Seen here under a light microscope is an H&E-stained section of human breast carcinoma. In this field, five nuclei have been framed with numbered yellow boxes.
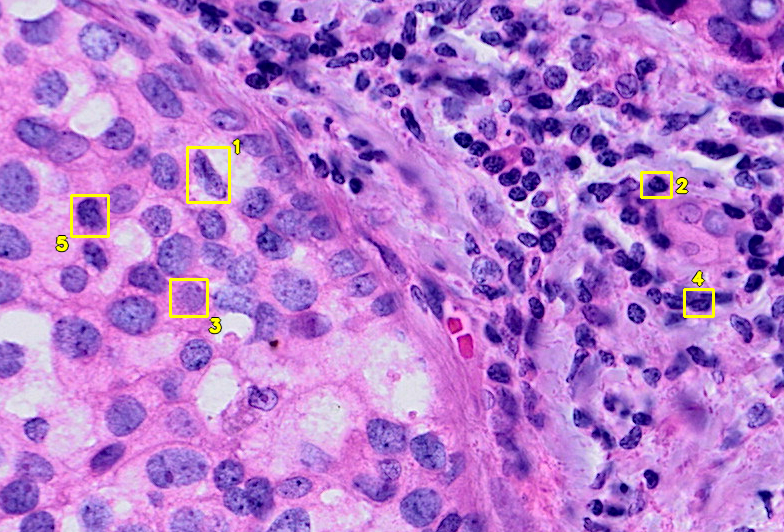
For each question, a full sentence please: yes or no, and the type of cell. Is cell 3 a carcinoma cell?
Yes, that is right: the cell labelled 3 is a carcinoma cell.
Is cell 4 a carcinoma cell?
No, cell 4 is not a carcinoma cell. It is a lymphocyte.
